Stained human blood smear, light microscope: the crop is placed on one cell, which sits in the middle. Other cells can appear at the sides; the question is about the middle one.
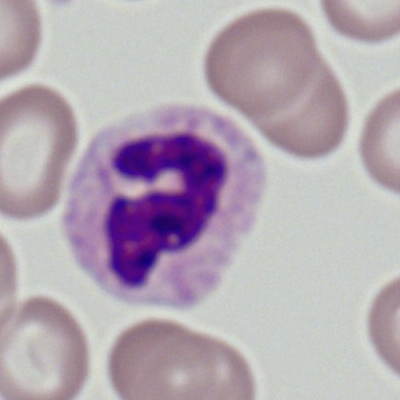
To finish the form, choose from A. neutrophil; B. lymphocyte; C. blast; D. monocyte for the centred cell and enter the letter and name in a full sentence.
Given that the cell in the middle is a neutrophil, option A is correct.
